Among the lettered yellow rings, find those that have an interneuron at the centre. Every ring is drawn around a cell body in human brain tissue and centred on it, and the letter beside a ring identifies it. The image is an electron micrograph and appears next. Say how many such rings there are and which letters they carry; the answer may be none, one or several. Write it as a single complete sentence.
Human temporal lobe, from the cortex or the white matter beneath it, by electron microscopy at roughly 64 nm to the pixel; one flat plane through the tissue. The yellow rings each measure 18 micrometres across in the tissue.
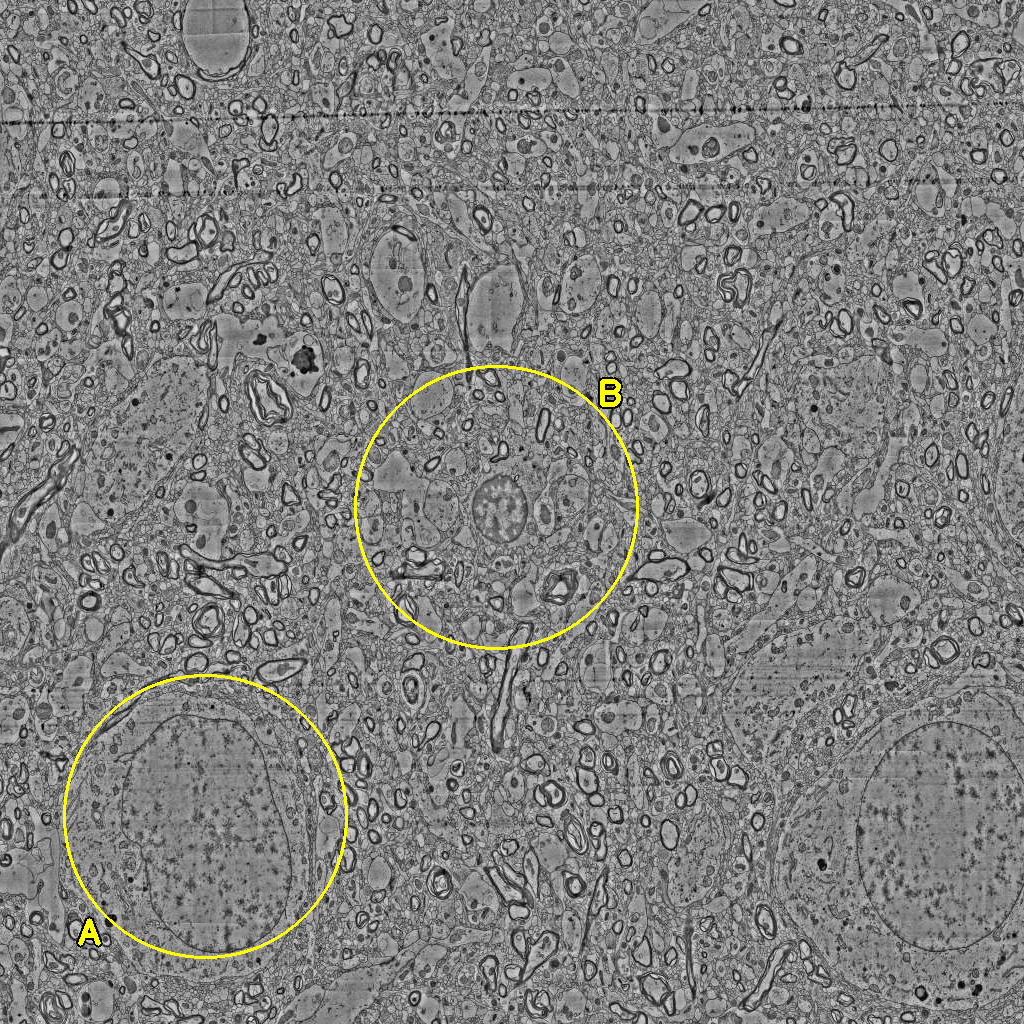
Counting the rings centred on an interneuron gives zero, as there are none.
